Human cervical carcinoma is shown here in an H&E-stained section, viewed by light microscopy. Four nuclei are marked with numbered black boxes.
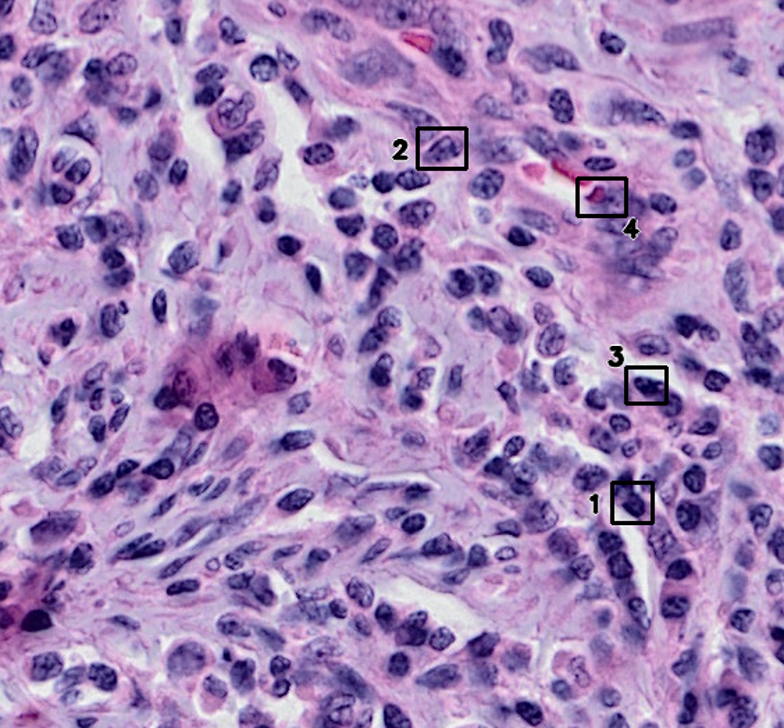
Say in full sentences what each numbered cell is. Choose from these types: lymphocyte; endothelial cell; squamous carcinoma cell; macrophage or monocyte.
Cell 1 is a lymphocyte, cell 2 is a lymphocyte, cell 3 is a lymphocyte and cell 4 is an endothelial cell.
